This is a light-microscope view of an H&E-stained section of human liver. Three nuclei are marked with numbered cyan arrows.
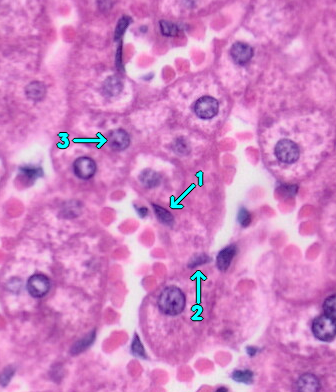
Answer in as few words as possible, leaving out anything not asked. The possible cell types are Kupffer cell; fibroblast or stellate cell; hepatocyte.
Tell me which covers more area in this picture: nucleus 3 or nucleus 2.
3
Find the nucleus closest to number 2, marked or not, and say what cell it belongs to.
Kupffer cell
